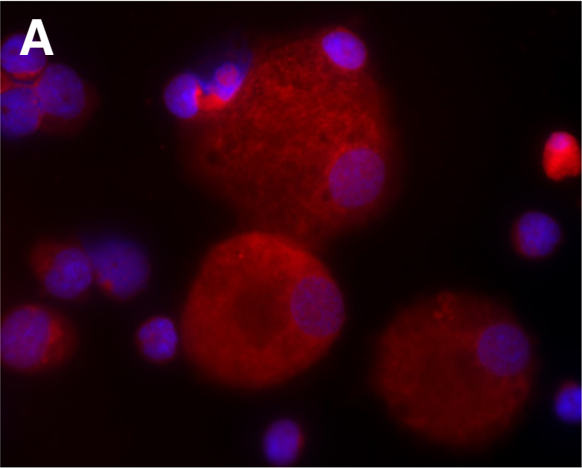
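Several large rounded cells with broad red cytoplasm lie among smaller cells with round blue nuclei. Each large cell carries an oval blue nucleus placed eccentrically near its edge. The small cells lie singly or in small groups between the large ones, and a few of them show a bright red rim or patch.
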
